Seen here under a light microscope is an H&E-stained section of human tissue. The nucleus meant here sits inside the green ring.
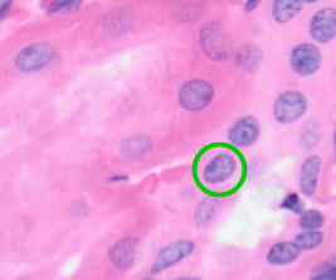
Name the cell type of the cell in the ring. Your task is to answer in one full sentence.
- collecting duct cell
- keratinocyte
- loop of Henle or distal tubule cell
Just put down that the cell in the ring is a collecting duct cell.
